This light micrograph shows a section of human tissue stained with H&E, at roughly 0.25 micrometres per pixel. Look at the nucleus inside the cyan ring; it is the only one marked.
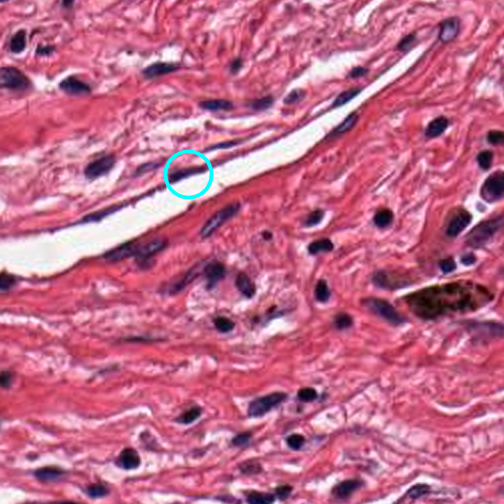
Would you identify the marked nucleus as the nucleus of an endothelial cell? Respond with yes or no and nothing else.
yes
